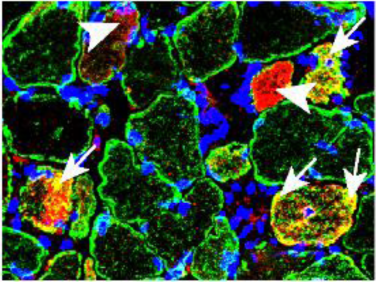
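Skeletal muscle fibers cut across appear as polygonal profiles rimmed in green with blue nuclei between and at their edges. Several fibers are filled with massive red or yellow areas, while others contain only small red clumps. Individual myofibers thus carry large accumulations, others small aggregates.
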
